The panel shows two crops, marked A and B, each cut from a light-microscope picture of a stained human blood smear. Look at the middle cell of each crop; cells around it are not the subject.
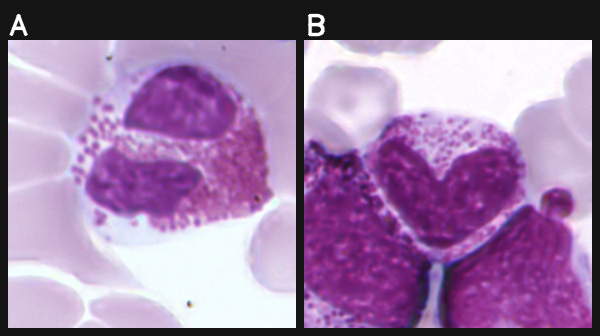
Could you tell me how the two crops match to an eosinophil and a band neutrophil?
A: eosinophil
B: band neutrophil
